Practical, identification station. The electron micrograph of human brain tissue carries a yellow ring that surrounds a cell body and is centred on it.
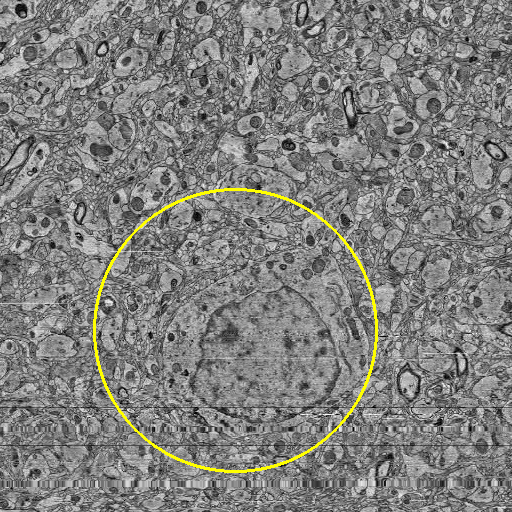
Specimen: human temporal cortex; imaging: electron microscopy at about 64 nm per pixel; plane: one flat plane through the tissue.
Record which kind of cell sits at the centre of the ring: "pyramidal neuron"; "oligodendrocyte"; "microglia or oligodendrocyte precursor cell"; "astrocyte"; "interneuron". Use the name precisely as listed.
interneuron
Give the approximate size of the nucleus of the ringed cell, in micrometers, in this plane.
Approximately 10 micrometres across, in this plane.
